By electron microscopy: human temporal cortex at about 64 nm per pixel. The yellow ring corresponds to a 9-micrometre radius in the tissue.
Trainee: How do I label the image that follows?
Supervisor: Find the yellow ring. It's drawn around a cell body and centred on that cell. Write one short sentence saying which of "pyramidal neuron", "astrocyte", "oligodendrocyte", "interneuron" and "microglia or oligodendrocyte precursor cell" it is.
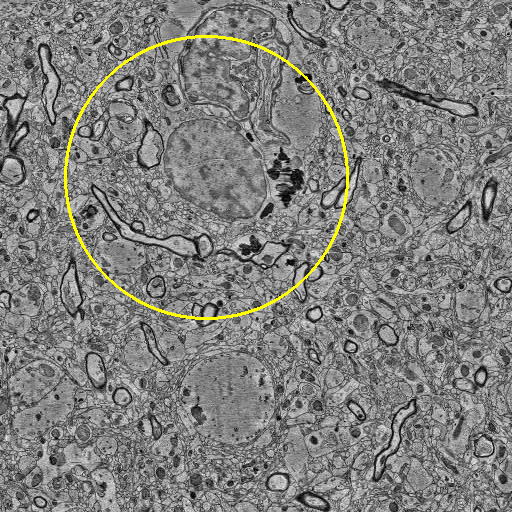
This is the cell body of an oligodendrocyte.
